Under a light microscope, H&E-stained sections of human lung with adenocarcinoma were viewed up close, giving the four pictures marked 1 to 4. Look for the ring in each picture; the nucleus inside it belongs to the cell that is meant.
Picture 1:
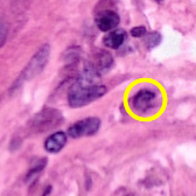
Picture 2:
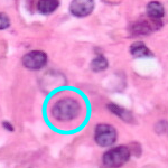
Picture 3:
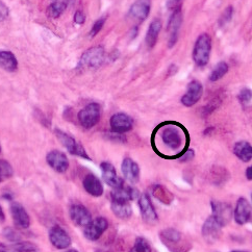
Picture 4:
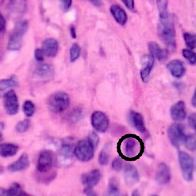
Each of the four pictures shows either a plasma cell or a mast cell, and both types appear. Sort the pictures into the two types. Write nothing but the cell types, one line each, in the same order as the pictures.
plasma cell
mast cell
plasma cell
plasma cell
